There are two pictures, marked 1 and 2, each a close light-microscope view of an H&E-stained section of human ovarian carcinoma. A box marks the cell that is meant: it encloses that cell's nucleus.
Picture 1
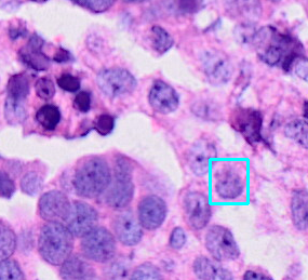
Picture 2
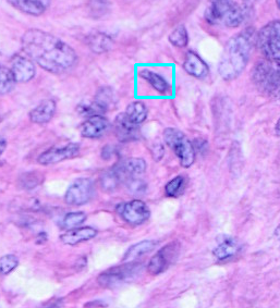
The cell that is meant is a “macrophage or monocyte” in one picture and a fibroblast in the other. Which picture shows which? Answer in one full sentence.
Picture 1 is of a “macrophage or monocyte”, and picture 2 is of a fibroblast.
